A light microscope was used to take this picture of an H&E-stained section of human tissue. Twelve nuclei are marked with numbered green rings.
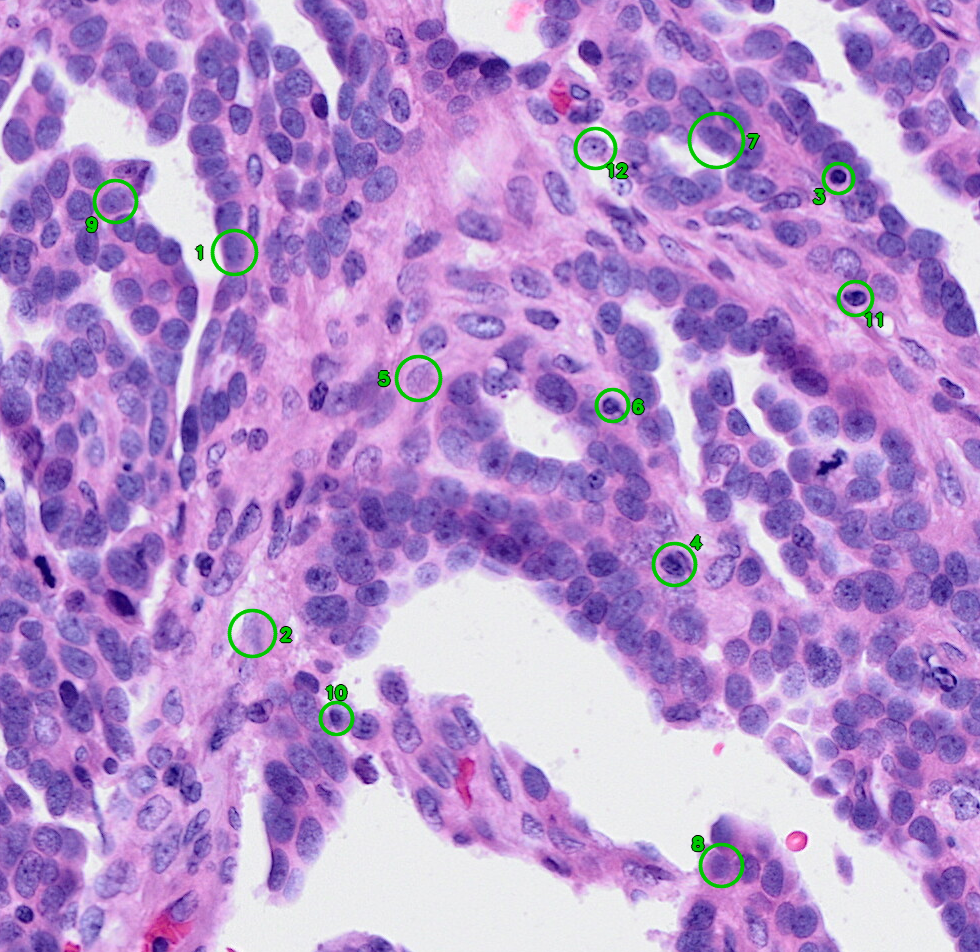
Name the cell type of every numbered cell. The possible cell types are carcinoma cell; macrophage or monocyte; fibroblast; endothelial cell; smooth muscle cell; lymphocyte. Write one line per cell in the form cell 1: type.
cell 1: carcinoma cell
cell 2: fibroblast
cell 3: lymphocyte
cell 4: lymphocyte
cell 5: fibroblast
cell 6: lymphocyte
cell 7: carcinoma cell
cell 8: carcinoma cell
cell 9: carcinoma cell
cell 10: lymphocyte
cell 11: lymphocyte
cell 12: macrophage or monocyte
